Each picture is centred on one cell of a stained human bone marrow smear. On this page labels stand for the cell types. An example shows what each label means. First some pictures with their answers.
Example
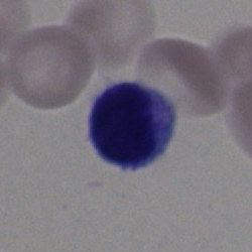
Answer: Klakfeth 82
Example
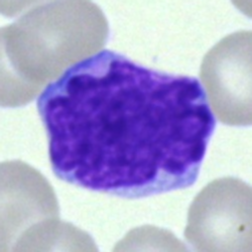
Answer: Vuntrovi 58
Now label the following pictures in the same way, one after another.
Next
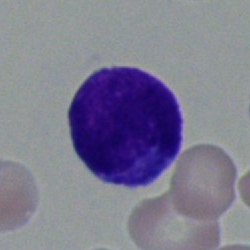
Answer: Vuntrovi 58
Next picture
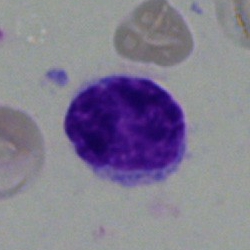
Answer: Klakfeth 82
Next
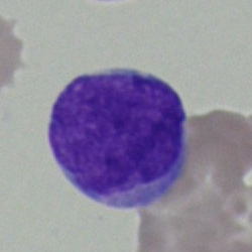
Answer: Vuntrovi 58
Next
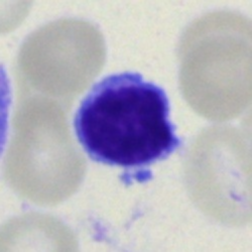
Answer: Klakfeth 82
